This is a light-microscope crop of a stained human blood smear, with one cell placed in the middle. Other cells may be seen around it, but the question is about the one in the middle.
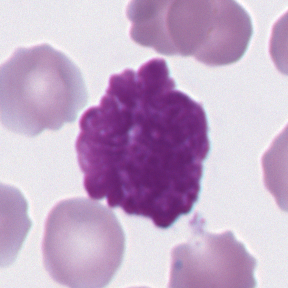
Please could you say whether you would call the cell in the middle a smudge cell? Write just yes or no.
yes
